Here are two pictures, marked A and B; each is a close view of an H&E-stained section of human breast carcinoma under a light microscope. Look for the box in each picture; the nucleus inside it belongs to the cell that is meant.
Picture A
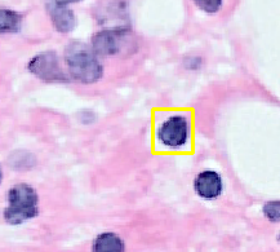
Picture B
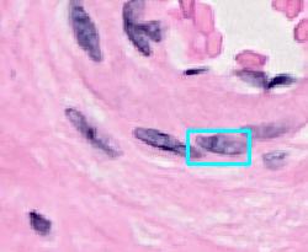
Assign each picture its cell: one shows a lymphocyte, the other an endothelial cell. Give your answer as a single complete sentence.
Picture A shows a lymphocyte and picture B shows an endothelial cell.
